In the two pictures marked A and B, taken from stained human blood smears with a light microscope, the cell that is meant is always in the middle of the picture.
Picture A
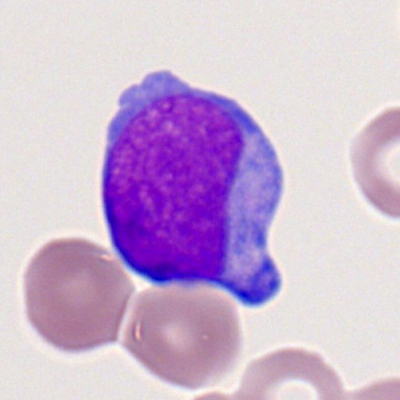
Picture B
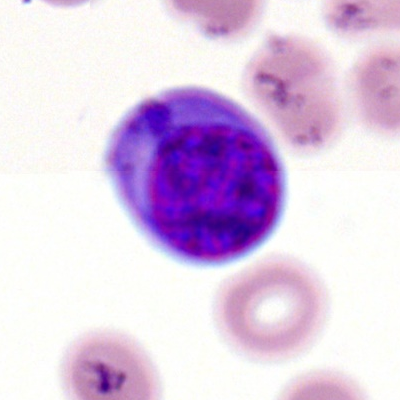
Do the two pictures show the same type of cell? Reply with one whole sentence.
No, the types are not the same, since picture A shows a myeloblast and picture B a lymphocyte.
